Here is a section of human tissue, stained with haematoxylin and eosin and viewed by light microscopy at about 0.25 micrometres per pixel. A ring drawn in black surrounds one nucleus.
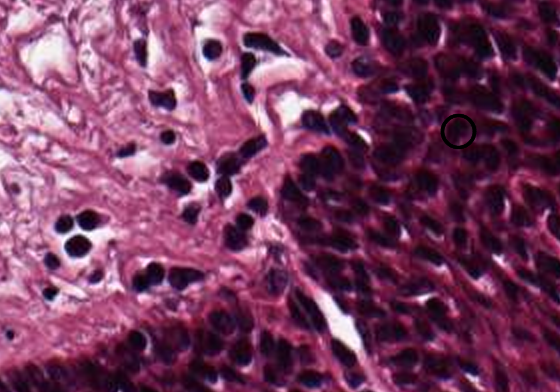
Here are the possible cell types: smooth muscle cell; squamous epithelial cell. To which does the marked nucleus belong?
squamous epithelial cell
